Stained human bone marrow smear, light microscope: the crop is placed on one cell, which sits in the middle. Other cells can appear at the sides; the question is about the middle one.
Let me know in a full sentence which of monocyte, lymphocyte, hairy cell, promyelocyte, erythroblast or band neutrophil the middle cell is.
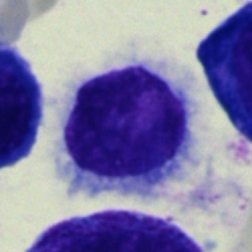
The identification for the central cell is a hairy cell.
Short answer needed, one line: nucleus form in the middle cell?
One compact mass makes up the whole nucleus, round, oval or kidney-shaped.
